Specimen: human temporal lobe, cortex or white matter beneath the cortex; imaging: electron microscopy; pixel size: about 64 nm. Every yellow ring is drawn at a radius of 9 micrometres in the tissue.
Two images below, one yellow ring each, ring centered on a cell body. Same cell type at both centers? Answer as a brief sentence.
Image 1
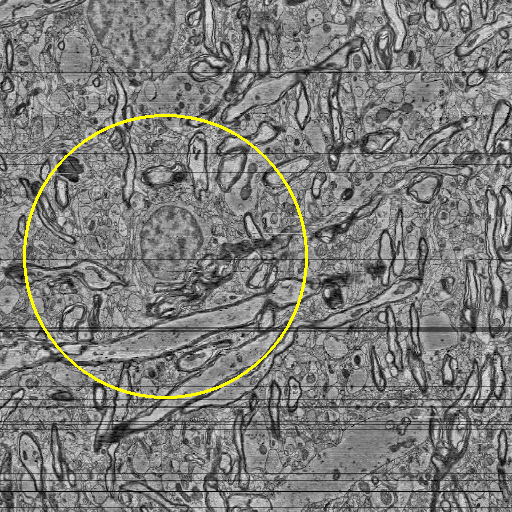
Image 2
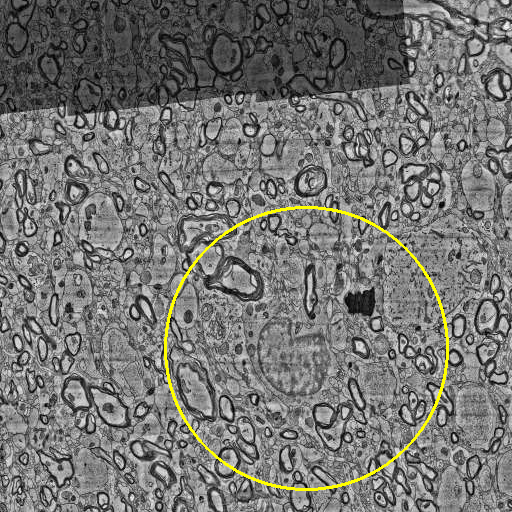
Yes, both cells are of the same type.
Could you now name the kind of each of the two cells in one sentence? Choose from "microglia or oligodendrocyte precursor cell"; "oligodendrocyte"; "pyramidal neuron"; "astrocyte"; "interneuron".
Each of the two pictures has an oligodendrocyte at the ring centre.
